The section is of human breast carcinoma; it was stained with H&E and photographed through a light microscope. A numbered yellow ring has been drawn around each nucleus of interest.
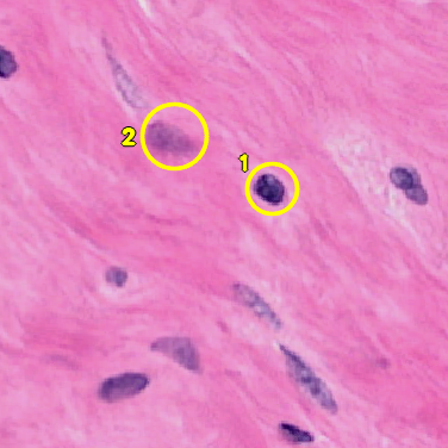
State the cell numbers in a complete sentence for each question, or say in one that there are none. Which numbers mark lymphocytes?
Only the cell carrying number 1 is a lymphocyte.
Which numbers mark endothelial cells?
The numbered set holds no endothelial cells whatsoever.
